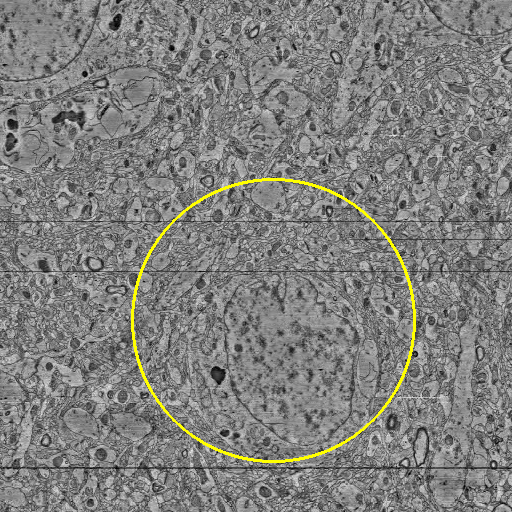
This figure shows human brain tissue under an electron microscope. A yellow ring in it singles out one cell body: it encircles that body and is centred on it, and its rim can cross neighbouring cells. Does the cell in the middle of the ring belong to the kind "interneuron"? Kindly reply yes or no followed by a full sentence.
Yes, the kind asked about is right for the cell centred in the figure's ring.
